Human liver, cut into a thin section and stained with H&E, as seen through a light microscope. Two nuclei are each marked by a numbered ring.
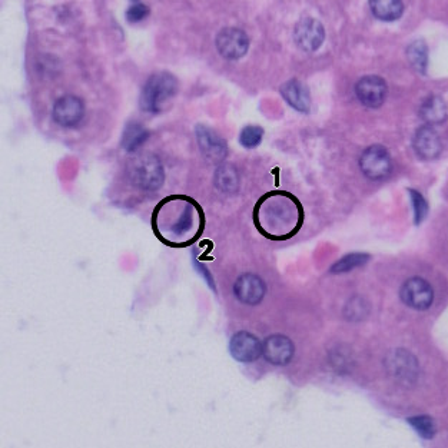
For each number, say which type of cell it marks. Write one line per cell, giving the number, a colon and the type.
1: hepatocyte
2: fibroblast or stellate cell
